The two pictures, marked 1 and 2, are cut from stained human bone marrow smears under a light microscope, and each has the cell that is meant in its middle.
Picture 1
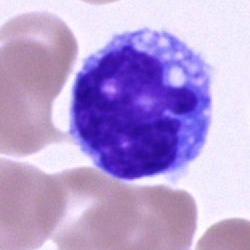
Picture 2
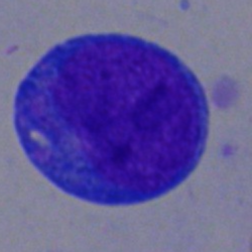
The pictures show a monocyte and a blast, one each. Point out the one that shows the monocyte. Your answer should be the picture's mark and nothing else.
1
